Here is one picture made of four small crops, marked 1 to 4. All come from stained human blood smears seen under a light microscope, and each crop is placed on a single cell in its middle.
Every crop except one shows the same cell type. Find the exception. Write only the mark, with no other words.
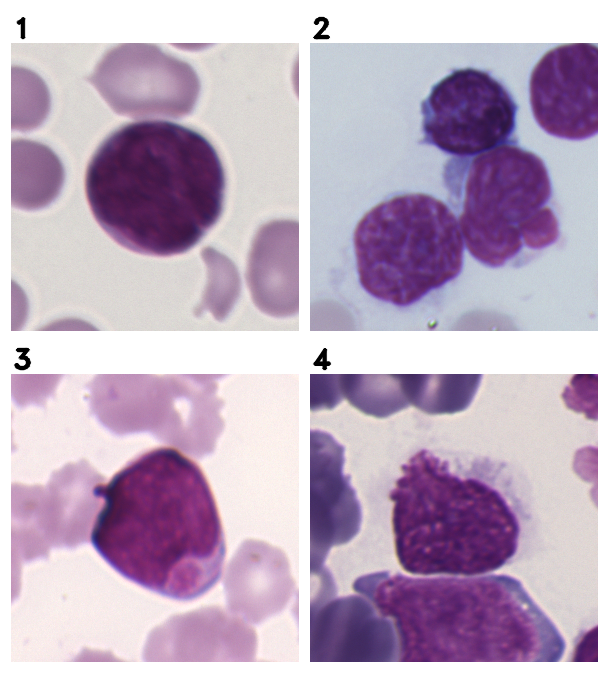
4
